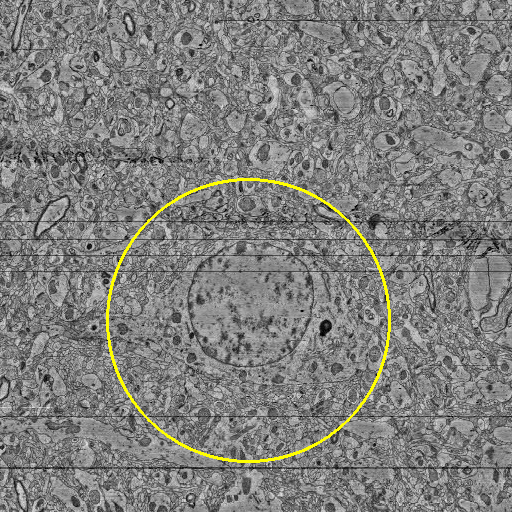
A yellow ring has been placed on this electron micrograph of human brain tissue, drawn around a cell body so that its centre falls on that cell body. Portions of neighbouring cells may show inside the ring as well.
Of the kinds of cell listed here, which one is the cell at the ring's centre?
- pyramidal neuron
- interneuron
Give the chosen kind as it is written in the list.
pyramidal neuron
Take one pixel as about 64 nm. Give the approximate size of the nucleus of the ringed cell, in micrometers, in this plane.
The nucleus appears about 8 micrometres across in this plane.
